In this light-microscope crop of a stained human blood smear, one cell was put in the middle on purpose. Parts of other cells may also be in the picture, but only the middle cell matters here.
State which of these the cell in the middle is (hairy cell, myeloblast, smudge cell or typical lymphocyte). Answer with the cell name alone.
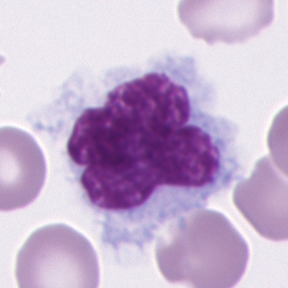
hairy cell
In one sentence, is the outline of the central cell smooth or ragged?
Along the periphery, ragged stretches or projections make the outline irregular.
